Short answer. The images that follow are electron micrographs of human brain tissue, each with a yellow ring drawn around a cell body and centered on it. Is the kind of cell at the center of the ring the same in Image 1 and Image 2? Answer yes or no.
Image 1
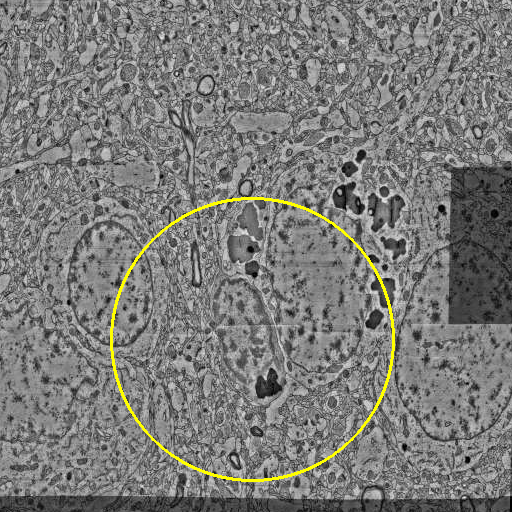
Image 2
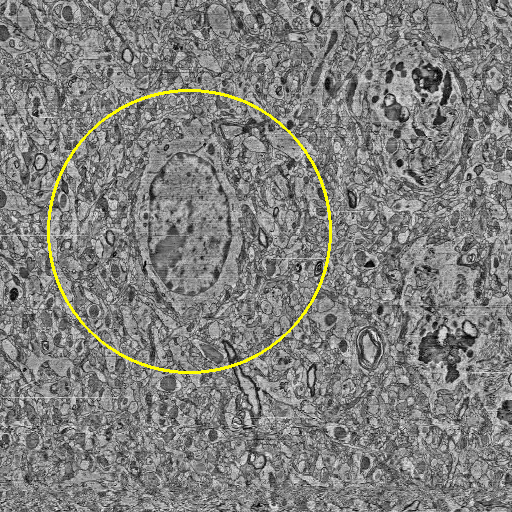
no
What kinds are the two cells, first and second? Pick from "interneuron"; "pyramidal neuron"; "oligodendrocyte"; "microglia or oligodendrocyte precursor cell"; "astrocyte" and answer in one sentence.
The second picture holds an astrocyte in its ring, and the first holds an oligodendrocyte.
